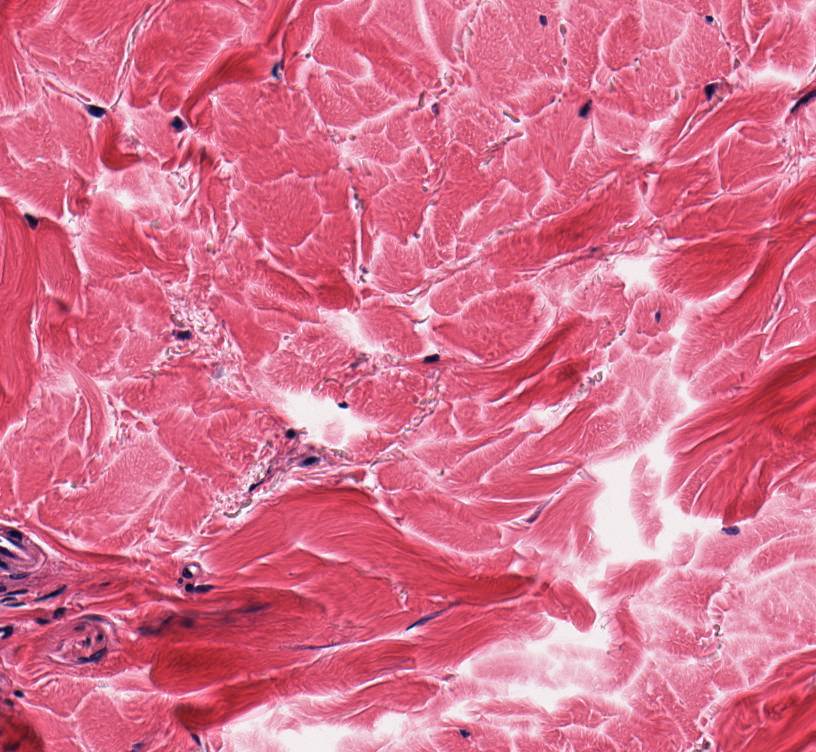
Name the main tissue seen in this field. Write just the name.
dermis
